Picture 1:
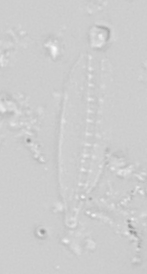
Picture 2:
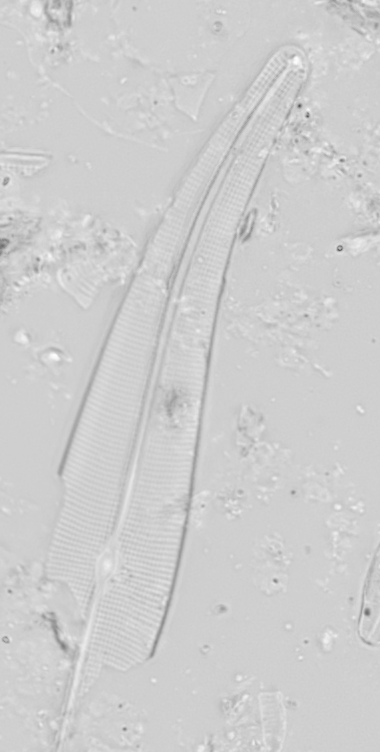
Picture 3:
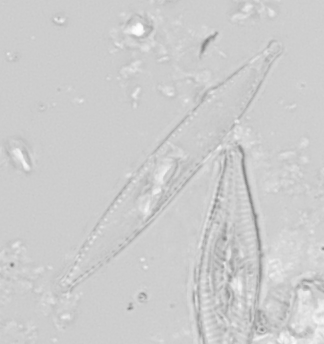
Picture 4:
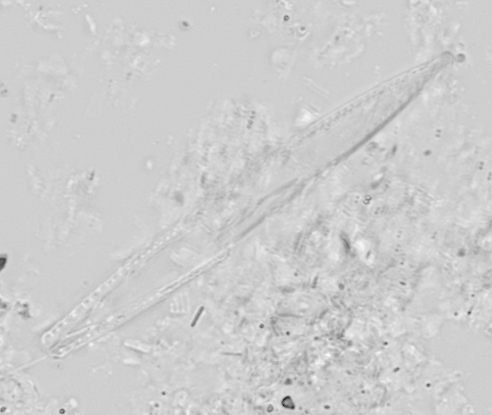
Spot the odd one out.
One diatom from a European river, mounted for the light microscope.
Picture 2 (Gyrosigma among Nitzschia).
